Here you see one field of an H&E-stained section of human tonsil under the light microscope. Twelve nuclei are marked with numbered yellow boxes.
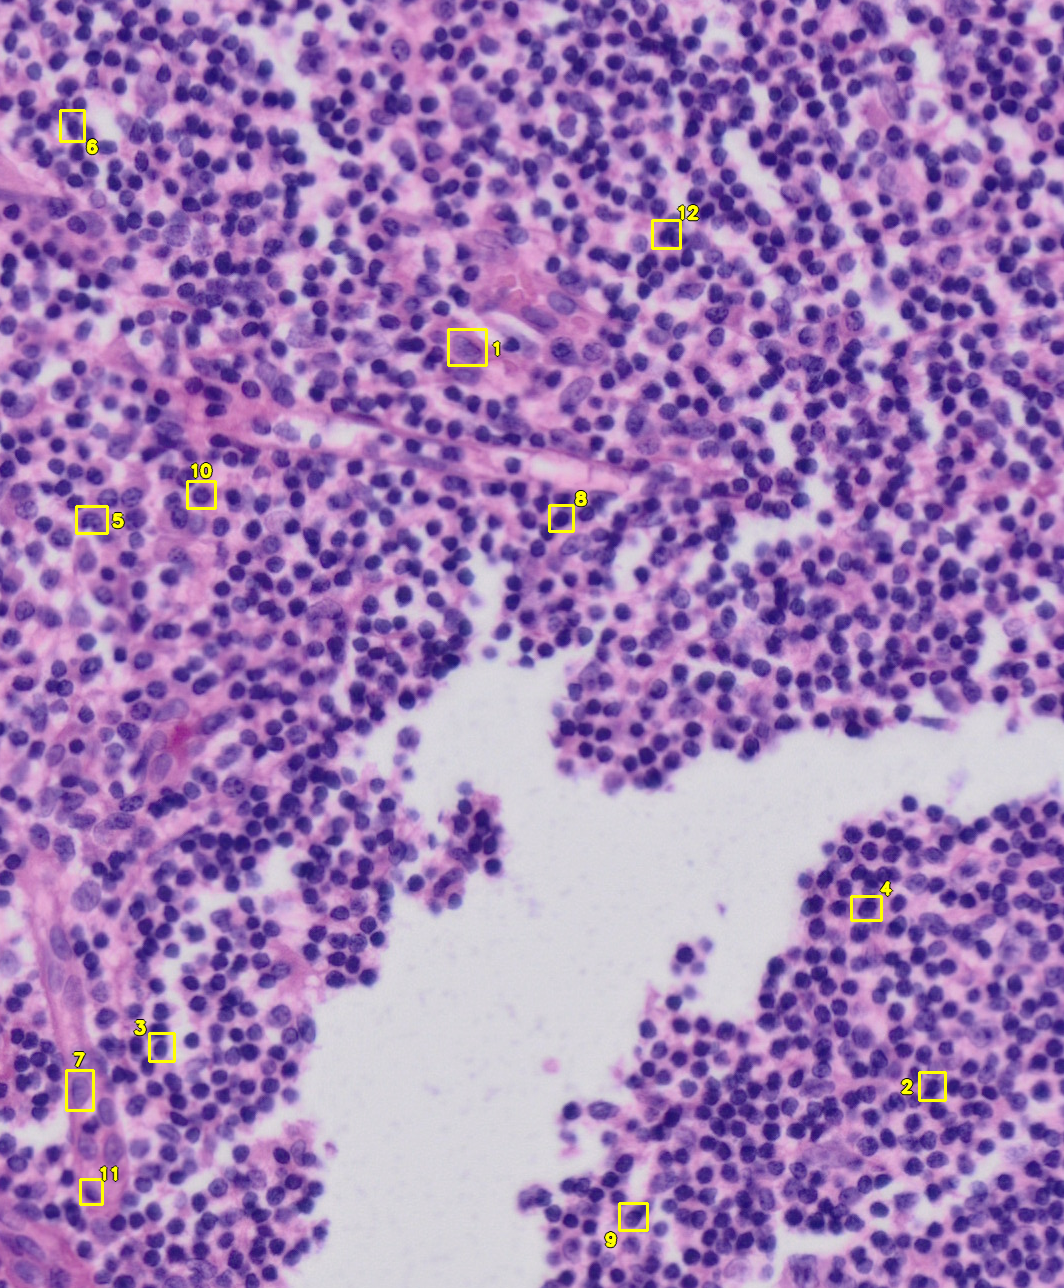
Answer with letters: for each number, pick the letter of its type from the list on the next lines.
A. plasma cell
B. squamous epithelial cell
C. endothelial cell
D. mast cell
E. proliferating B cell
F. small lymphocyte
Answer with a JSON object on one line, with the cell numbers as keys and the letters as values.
{"1": "C", "2": "F", "3": "F", "4": "F", "5": "A", "6": "F", "7": "C", "8": "F", "9": "F", "10": "A", "11": "C", "12": "F"}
